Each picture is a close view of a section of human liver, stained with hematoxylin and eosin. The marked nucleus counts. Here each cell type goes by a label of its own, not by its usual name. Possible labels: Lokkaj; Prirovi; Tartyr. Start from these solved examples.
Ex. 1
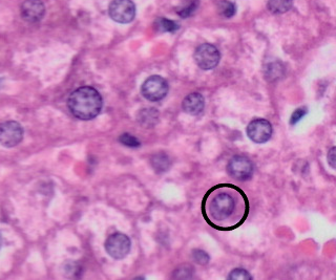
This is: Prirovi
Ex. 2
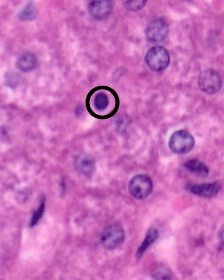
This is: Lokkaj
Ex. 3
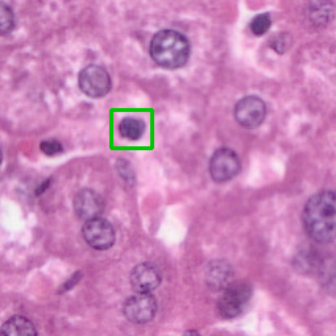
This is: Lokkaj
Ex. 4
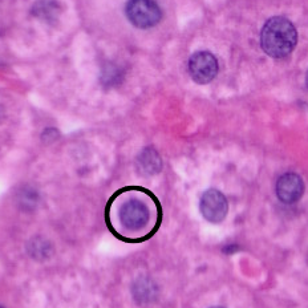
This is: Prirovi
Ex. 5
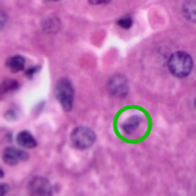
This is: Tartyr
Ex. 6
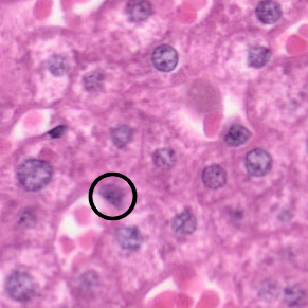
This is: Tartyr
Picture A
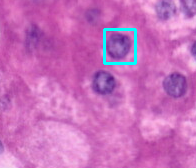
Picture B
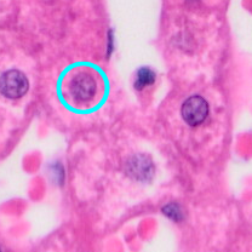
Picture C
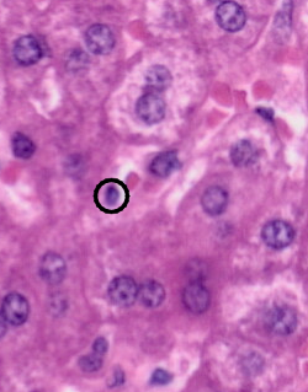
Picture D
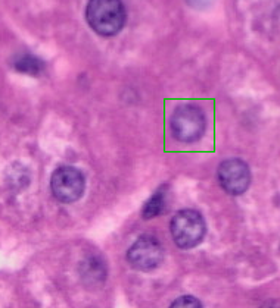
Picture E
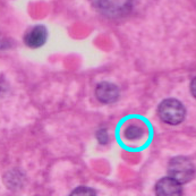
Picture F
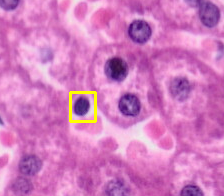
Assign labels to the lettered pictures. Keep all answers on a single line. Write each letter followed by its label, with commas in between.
A Prirovi, B Prirovi, C Lokkaj, D Prirovi, E Lokkaj, F Lokkaj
